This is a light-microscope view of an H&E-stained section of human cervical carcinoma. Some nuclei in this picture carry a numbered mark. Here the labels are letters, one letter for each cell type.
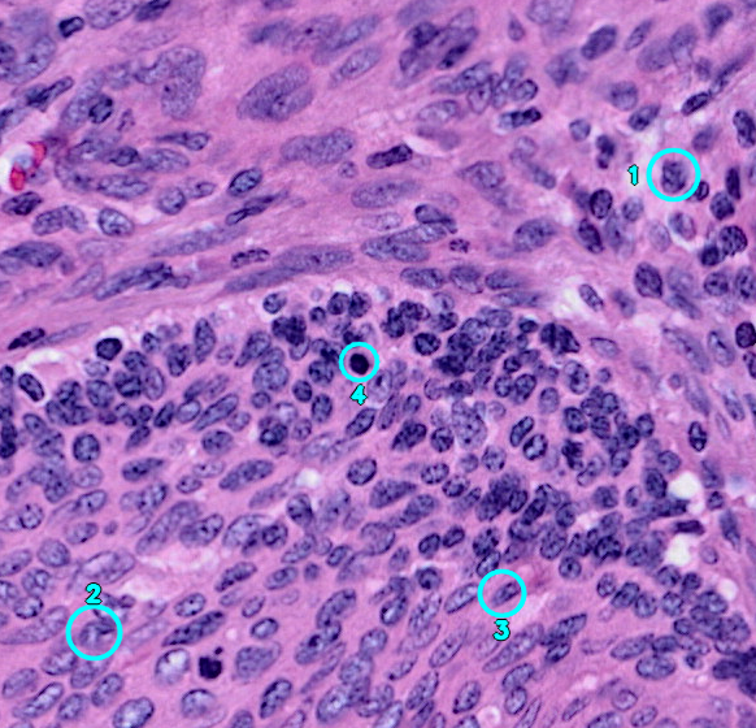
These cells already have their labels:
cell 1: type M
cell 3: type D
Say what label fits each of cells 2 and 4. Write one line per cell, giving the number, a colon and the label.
2: type D
4: type D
